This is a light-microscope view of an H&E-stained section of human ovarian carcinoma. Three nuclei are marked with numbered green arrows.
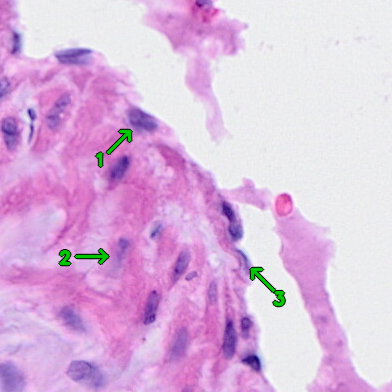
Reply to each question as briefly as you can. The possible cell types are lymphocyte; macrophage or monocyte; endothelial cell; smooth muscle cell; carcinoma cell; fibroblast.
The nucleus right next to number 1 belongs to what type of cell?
smooth muscle cell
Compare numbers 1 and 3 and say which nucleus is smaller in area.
3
